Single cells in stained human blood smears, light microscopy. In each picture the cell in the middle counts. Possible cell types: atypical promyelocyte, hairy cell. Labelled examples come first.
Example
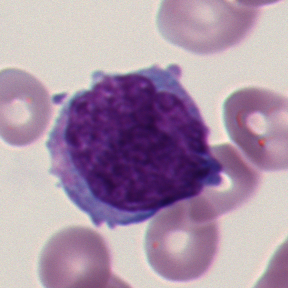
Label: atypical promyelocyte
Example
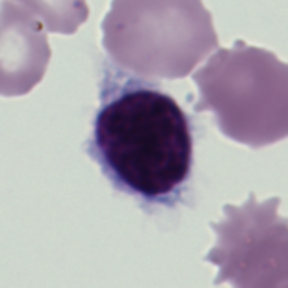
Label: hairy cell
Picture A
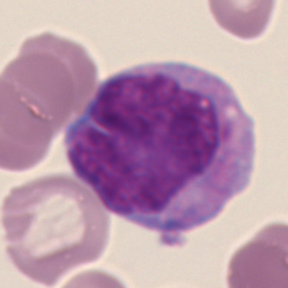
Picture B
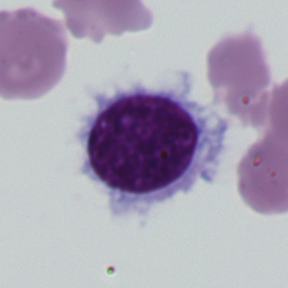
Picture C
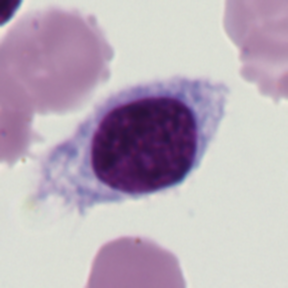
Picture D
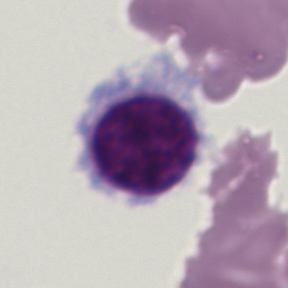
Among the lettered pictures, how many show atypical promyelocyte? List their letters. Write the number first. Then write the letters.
1, namely A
